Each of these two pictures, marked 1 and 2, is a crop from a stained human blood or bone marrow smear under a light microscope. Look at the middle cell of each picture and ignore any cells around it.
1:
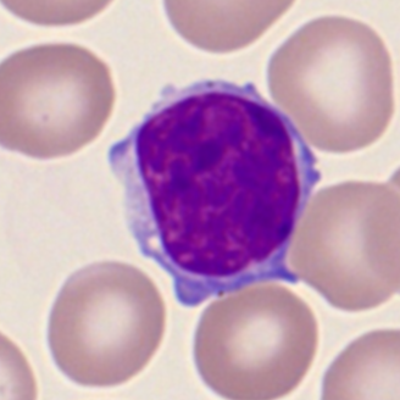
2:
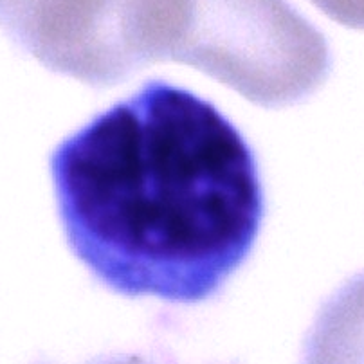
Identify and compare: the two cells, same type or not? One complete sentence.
Yes, as shown in both crops, the central cells are lymphocytes.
